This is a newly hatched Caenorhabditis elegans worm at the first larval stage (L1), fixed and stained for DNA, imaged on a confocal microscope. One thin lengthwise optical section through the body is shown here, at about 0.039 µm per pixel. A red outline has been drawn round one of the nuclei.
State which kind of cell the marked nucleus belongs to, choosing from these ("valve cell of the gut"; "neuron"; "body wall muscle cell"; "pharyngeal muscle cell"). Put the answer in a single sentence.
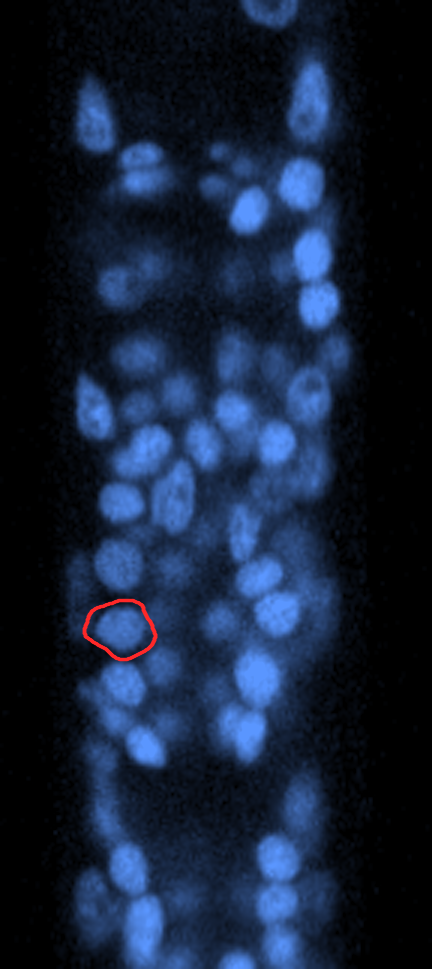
The marked nucleus is that of a neuron.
